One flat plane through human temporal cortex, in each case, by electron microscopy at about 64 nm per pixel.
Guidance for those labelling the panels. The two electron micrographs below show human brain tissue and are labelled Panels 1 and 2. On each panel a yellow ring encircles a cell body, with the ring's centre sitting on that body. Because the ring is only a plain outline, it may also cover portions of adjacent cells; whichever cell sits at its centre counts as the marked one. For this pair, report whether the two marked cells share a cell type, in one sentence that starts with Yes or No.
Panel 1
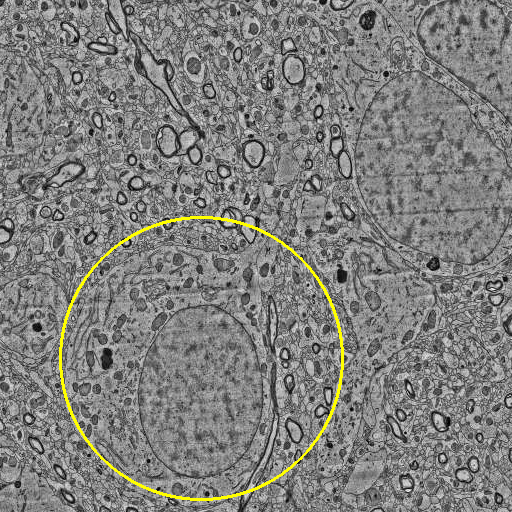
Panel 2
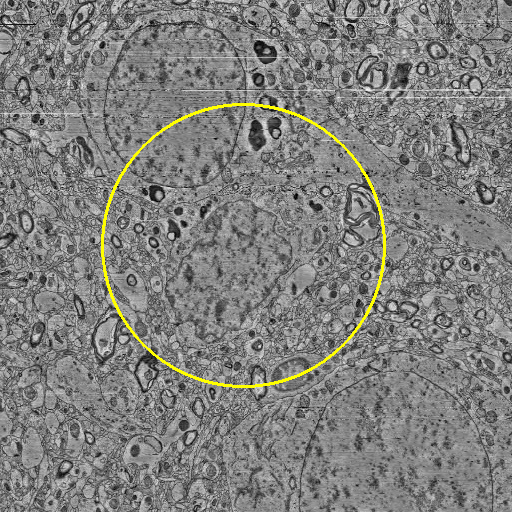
Yes, in Panel 1 and Panel 2 the marked cells at the ring centres share one type.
